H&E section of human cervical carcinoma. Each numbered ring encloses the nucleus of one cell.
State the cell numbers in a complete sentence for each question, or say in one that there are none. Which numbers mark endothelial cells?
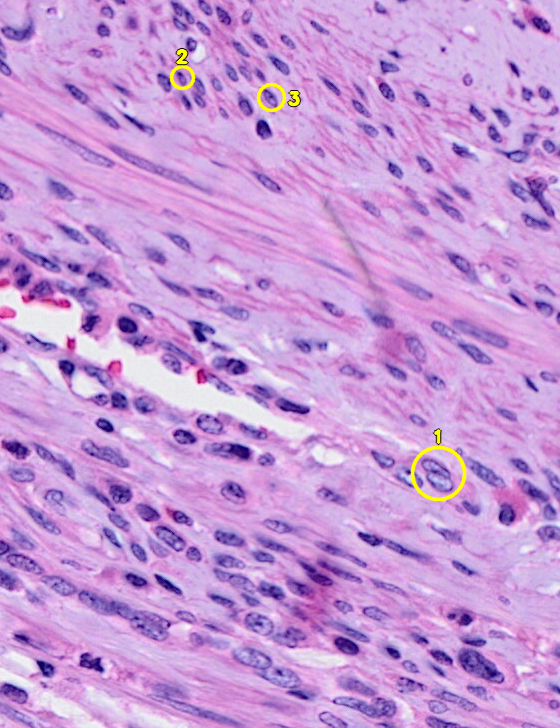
Of the numbered nuclei, only the one labelled 1 belongs to an endothelial cell.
